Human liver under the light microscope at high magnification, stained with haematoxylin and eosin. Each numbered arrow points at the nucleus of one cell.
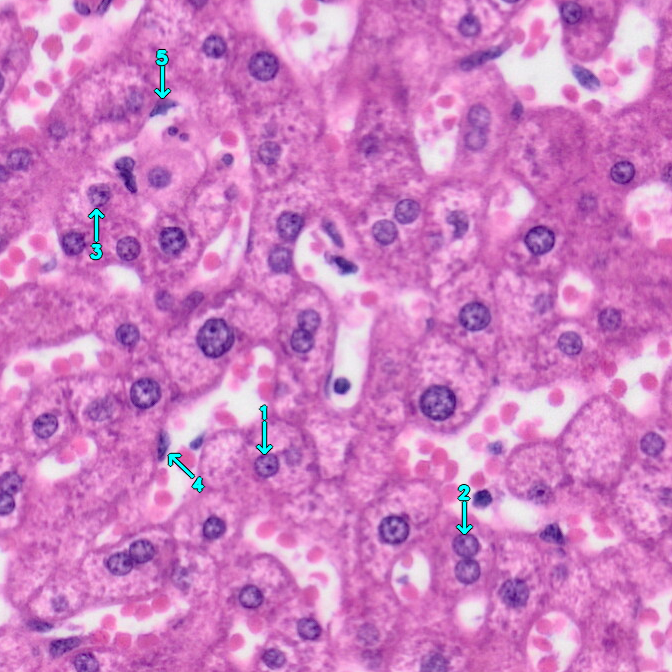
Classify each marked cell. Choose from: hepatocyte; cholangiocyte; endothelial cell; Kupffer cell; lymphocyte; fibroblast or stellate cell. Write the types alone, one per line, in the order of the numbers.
hepatocyte
hepatocyte
hepatocyte
endothelial cell
endothelial cell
